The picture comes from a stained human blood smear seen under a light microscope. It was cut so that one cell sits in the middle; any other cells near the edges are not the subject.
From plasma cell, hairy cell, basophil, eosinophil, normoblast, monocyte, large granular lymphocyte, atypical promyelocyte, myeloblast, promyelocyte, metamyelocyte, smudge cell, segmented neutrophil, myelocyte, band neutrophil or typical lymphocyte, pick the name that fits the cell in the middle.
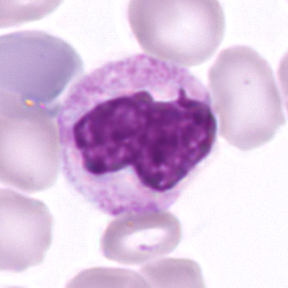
band neutrophil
